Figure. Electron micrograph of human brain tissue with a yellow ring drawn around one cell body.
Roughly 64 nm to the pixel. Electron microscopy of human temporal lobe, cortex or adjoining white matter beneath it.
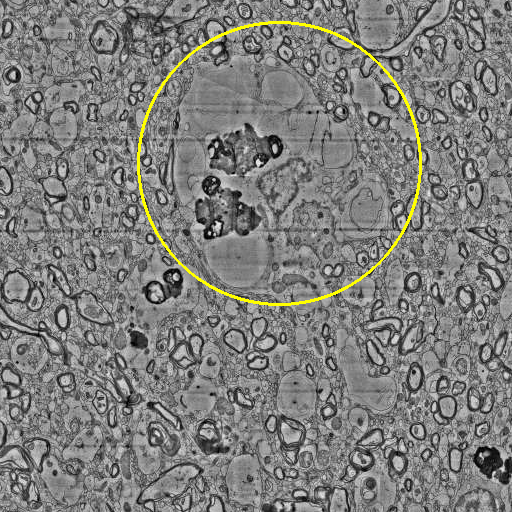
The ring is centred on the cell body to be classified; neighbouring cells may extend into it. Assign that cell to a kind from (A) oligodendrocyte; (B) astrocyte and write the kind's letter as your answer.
B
